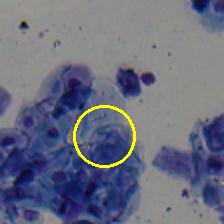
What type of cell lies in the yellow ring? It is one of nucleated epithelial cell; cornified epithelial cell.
The ringed cell is a cornified epithelial cell.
